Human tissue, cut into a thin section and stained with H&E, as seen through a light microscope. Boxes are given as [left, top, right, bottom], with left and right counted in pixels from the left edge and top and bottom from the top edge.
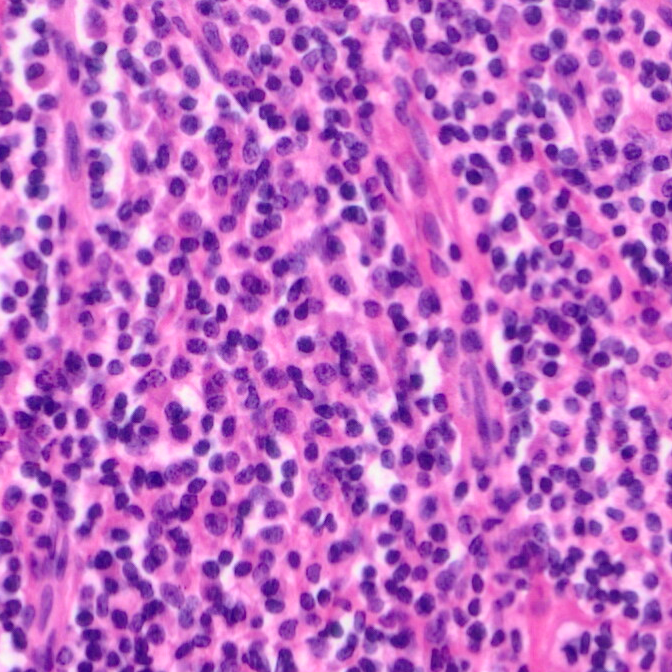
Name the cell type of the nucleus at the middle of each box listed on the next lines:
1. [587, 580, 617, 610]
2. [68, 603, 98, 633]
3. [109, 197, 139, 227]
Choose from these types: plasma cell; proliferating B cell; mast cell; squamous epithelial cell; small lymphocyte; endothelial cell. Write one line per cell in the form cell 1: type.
cell 1: small lymphocyte
cell 2: small lymphocyte
cell 3: plasma cell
